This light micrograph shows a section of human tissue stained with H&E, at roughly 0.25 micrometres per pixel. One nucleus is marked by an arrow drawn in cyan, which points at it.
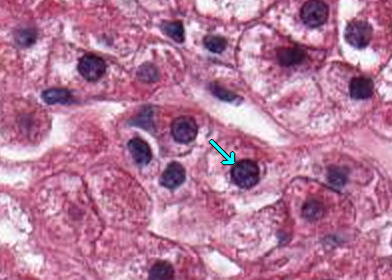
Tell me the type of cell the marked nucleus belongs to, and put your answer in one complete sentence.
The marked nucleus is part of an adrenal cortical cell.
